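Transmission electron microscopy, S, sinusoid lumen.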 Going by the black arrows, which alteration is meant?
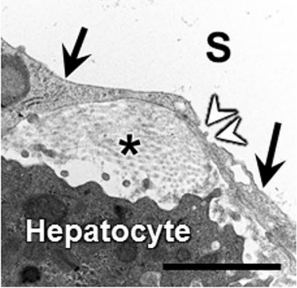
A thickened endothelial wall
